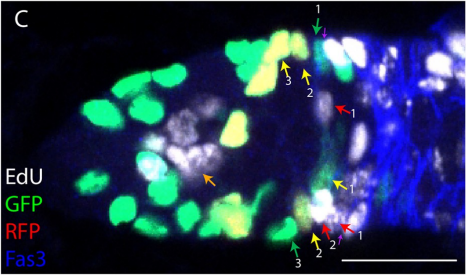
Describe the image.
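This is a germarium with somatic escort cells, follicle stem cells, follicle cells and a germline cyst. Many small, irregular nuclei scattered across the anterior half are green, a few are yellow, and numbered arrows mark a small group of nuclei lying just in front of the blue region. On the right, blue outlines a dense meshwork of small cell surfaces, and many nuclei within and near it are white. Toward the left middle, an orange arrow marks a cluster of several larger white nuclei lying together. Some of the nuclei at the front edge of the blue region are white and carry neither green nor red.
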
